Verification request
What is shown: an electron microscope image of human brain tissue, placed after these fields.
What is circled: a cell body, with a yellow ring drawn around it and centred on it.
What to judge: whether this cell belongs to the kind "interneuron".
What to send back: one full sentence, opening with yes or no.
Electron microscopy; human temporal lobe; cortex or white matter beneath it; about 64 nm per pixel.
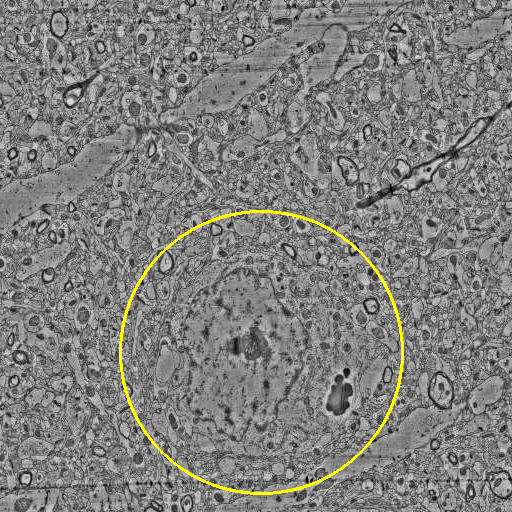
Yes, the cell on which the yellow ring is centred in the picture is of that kind.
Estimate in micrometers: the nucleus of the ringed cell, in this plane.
In this plane the nucleus measures roughly 11 by 8 micrometres.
